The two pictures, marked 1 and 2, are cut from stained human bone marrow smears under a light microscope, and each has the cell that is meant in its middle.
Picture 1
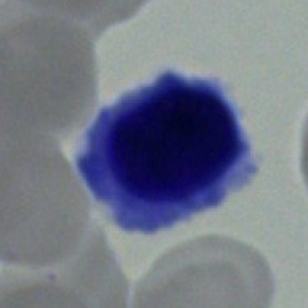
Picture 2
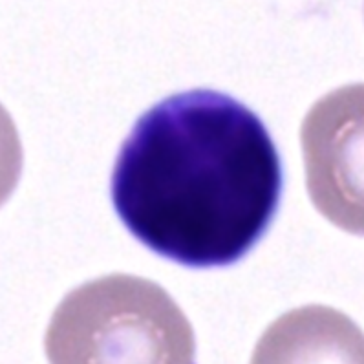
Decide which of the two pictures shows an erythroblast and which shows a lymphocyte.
1: erythroblast
2: lymphocyte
